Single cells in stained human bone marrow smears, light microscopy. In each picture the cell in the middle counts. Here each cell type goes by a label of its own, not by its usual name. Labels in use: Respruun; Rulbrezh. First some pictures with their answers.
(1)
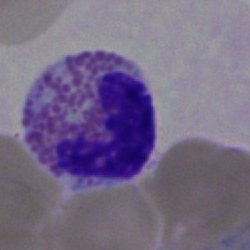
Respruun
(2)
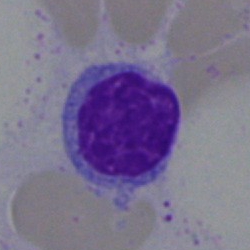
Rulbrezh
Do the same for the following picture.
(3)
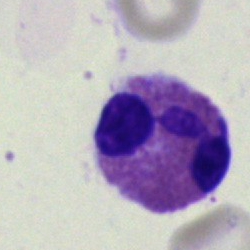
Respruun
